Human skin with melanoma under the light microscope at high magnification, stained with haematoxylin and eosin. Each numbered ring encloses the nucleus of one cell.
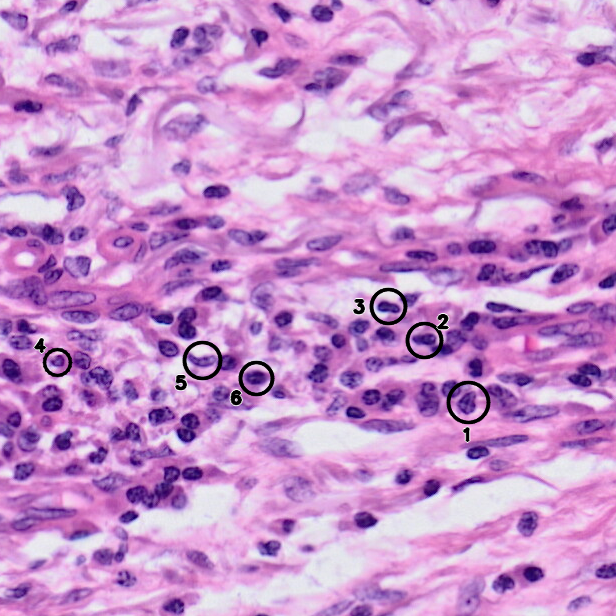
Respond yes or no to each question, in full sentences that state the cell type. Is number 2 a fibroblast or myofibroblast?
No, what is marked as number 2 is a lymphocyte rather than a fibroblast or myofibroblast.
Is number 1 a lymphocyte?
Yes, in the section, number 1 is a lymphocyte.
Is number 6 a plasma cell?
Yes, cell number 6 is classified as a plasma cell.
